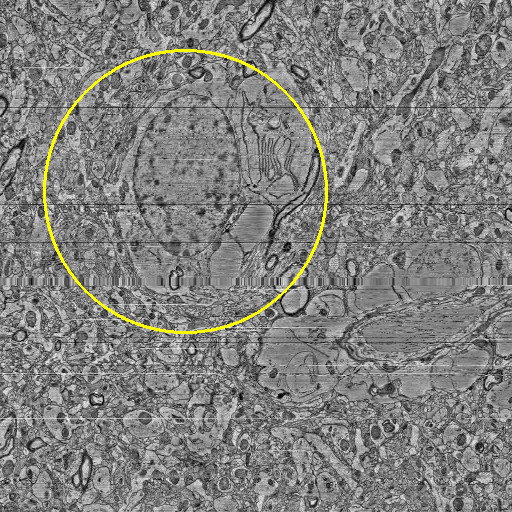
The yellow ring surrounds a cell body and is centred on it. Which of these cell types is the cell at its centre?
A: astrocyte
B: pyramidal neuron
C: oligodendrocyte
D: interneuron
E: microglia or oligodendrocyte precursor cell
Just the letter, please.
A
